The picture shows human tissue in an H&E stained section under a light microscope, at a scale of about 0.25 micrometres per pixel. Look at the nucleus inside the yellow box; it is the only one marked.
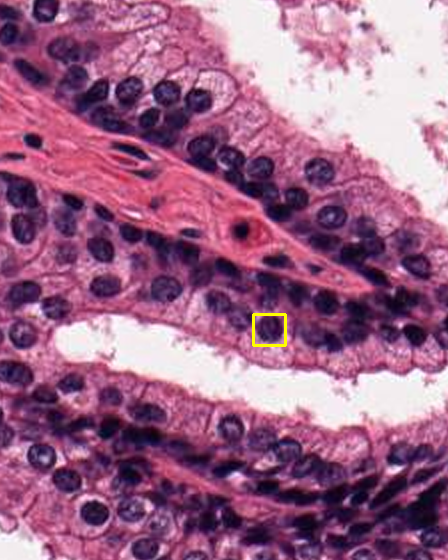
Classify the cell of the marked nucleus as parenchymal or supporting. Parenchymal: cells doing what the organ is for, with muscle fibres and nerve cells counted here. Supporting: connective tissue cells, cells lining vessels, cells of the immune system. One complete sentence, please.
The marked nucleus is the nucleus of a parenchymal cell, namely a prostate gland luminal cell.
